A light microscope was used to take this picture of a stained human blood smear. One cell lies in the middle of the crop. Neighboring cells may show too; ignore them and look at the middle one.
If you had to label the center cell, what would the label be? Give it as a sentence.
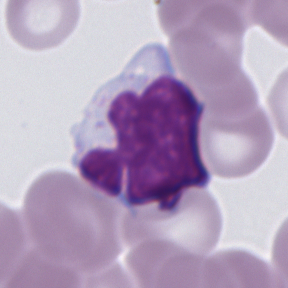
The cell the crop is centered on is a large granular lymphocyte.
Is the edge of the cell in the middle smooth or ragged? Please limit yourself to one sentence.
The outer contour of the cell is irregular, with ragged portions or projections along it.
